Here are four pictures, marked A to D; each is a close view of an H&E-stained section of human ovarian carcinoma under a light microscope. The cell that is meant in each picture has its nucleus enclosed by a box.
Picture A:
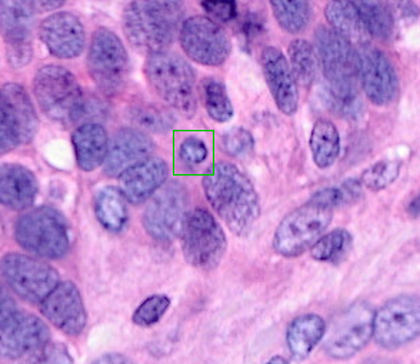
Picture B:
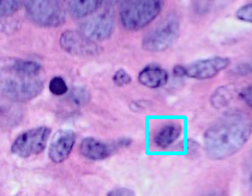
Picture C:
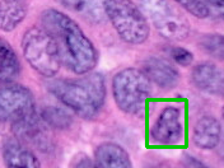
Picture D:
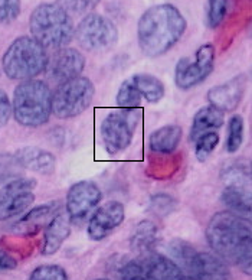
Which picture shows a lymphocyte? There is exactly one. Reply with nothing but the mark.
B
